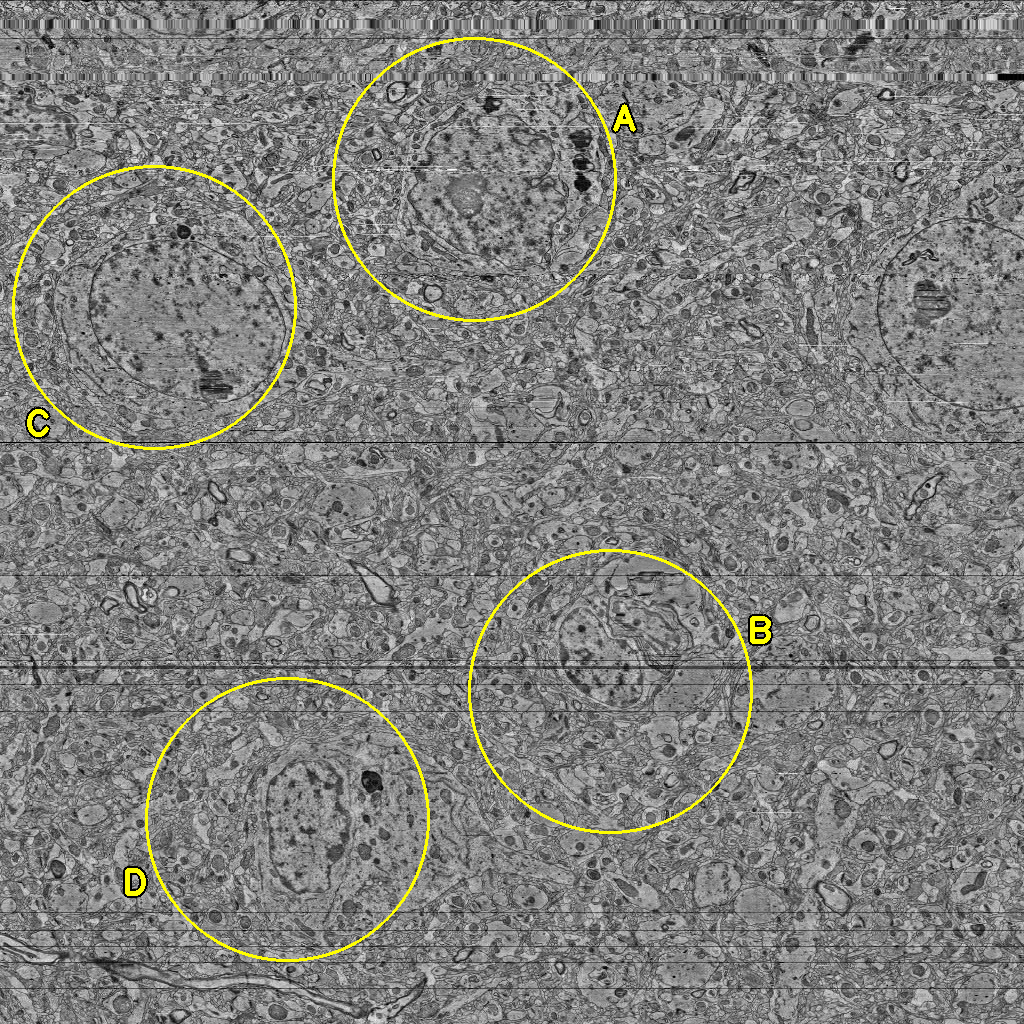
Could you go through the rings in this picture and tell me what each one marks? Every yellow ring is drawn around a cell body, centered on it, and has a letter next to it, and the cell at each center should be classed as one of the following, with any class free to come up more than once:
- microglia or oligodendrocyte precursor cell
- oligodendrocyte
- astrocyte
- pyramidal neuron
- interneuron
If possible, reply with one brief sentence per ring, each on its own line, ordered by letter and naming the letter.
The cell centered in ring A is an interneuron.
The cell centered in ring B is a microglial cell or oligodendrocyte precursor cell.
The cell centered in ring C is a pyramidal neuron.
The cell centered in ring D is a microglial cell or oligodendrocyte precursor cell.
